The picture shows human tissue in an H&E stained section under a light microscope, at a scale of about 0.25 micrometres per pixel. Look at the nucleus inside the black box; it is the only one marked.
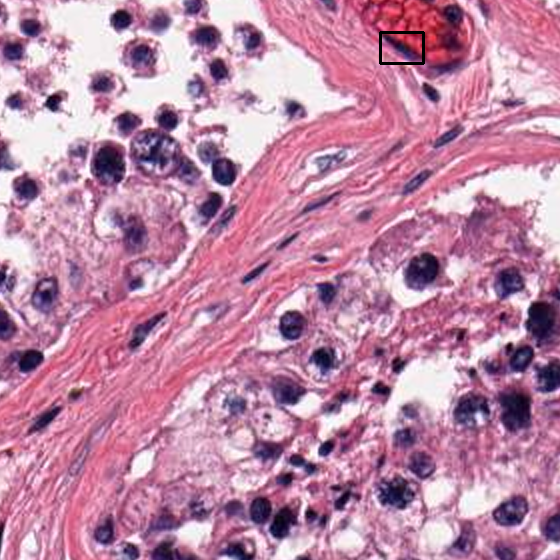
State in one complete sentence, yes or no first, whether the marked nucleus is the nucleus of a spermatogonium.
No, the marked nucleus is part of a supporting cell and does not belong to a spermatogonium.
